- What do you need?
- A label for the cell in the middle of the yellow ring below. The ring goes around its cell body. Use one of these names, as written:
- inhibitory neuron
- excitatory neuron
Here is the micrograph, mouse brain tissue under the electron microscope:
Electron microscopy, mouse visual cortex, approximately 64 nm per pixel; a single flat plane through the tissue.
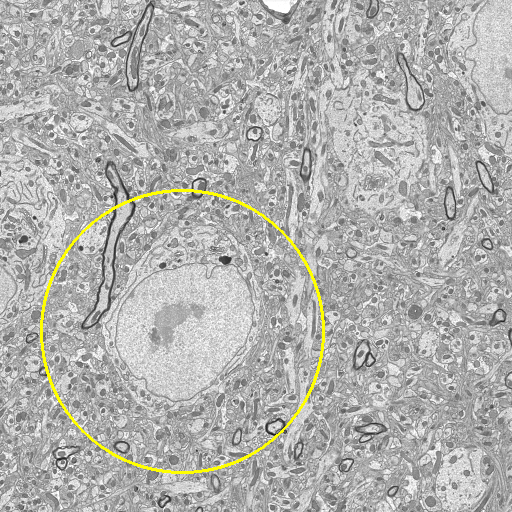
inhibitory neuron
